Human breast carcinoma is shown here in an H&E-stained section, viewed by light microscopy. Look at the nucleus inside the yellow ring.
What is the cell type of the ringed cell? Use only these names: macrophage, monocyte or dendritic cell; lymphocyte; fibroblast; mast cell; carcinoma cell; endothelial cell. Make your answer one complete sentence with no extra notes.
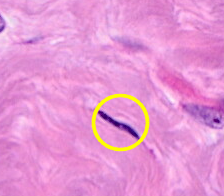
By its classification, the ringed cell is a fibroblast.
